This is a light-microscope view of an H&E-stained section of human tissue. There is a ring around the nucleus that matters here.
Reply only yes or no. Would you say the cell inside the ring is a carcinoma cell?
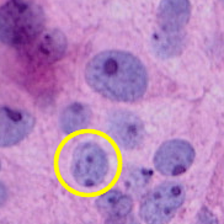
yes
